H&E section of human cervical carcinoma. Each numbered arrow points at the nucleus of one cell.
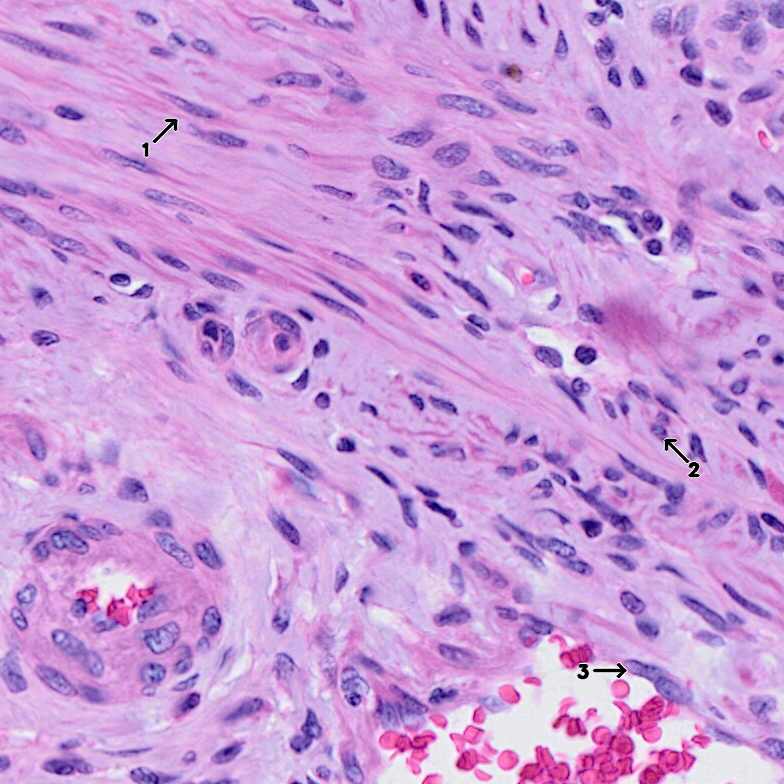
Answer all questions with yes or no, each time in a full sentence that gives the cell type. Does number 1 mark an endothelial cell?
No, the cell carrying number 1 is a smooth muscle cell rather than an endothelial cell.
